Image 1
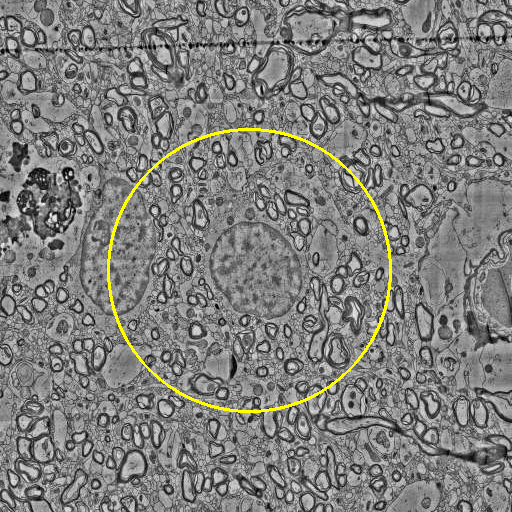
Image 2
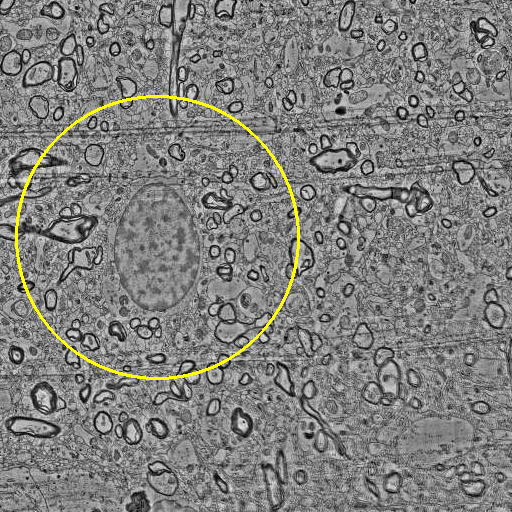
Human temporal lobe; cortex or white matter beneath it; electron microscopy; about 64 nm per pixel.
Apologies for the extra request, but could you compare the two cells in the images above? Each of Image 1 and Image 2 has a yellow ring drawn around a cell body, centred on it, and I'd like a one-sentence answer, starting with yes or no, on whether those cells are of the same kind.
Yes, both cells are of the same kind.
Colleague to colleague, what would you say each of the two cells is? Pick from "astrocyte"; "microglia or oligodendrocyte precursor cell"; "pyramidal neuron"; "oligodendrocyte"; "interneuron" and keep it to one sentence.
Both the first and the second picture show an oligodendrocyte in the ring.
